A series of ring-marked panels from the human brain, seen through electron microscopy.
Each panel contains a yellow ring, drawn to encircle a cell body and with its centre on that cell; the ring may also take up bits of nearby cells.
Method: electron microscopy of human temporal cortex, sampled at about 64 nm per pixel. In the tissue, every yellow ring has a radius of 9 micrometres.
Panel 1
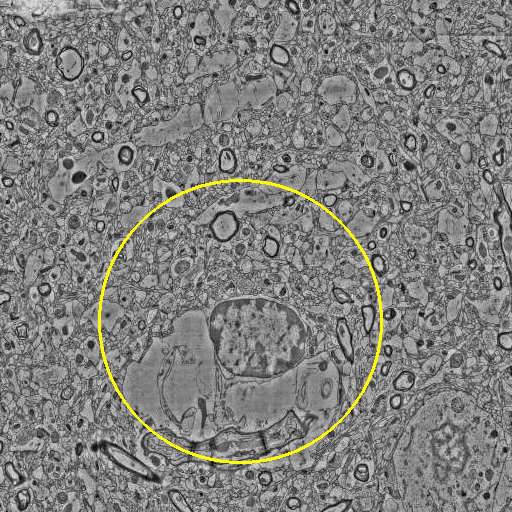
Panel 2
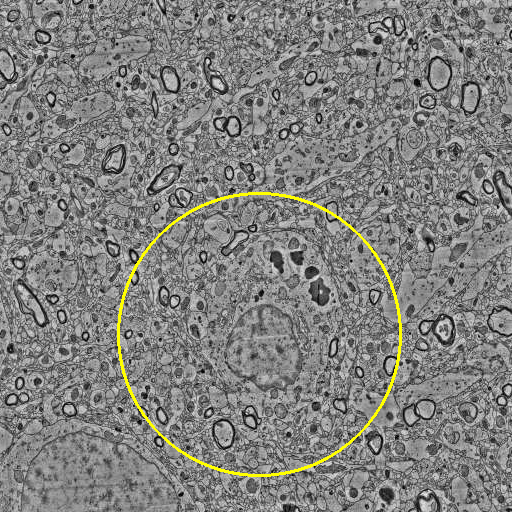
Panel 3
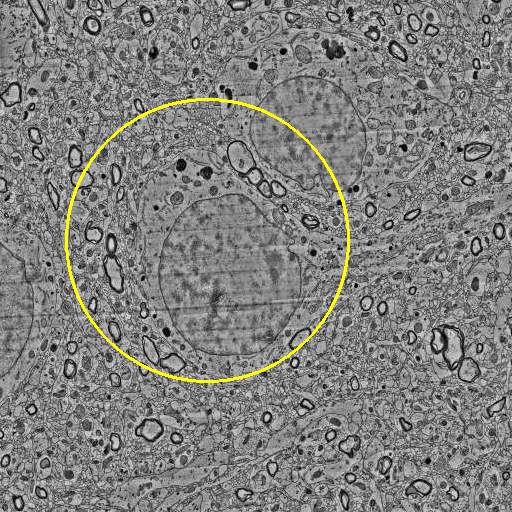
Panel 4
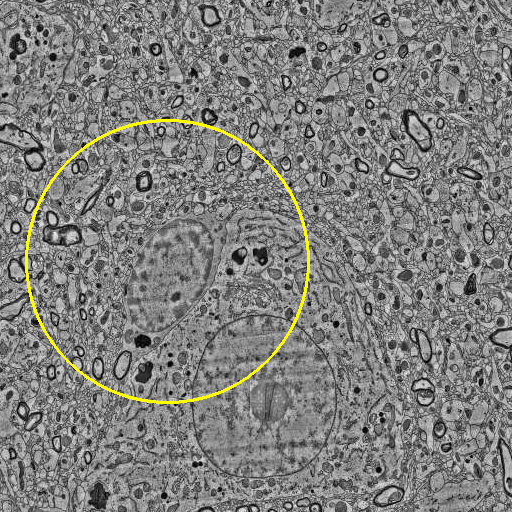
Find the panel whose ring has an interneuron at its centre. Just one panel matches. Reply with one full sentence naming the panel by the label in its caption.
The sought cell lies at the centre of the ring shown in Panel 2.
